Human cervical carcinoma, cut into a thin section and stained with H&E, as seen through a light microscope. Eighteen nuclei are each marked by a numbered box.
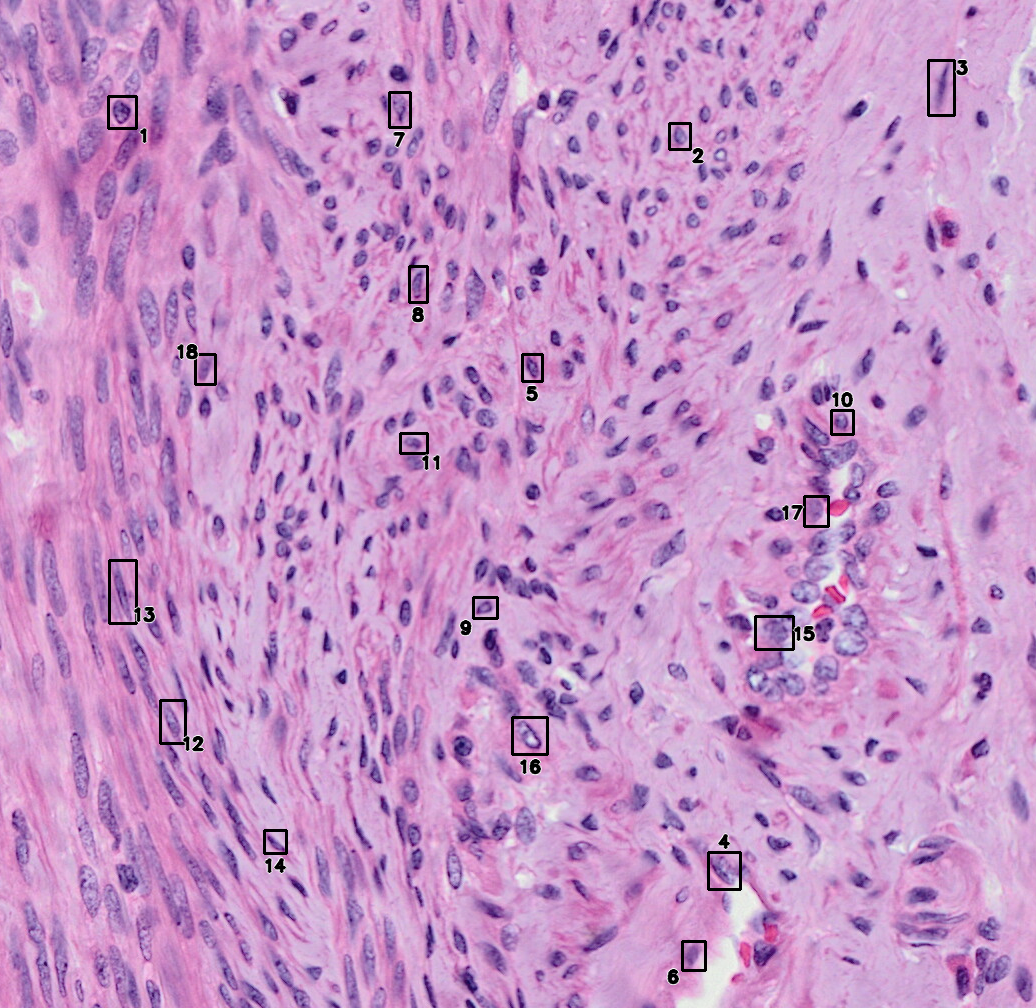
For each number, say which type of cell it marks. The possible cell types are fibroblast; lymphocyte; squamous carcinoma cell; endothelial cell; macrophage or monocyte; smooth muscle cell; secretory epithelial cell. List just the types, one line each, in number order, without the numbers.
lymphocyte
smooth muscle cell
fibroblast
endothelial cell
smooth muscle cell
endothelial cell
smooth muscle cell
smooth muscle cell
fibroblast
smooth muscle cell
smooth muscle cell
smooth muscle cell
smooth muscle cell
smooth muscle cell
endothelial cell
endothelial cell
endothelial cell
smooth muscle cell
